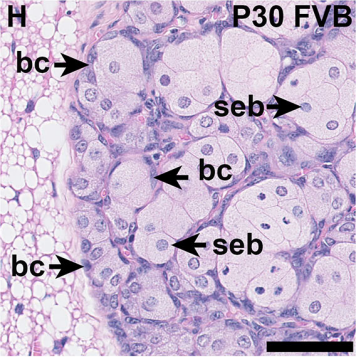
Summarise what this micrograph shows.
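This is a sebaceous gland with lobules in which small basal cells with darker, denser cytoplasm line the outer edge of each lobule. Toward the centre lie large mature sebocytes with abundant pale, finely vacuolated cytoplasm and round central nuclei. Loose tissue with large empty rounded spaces borders the gland at the left.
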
